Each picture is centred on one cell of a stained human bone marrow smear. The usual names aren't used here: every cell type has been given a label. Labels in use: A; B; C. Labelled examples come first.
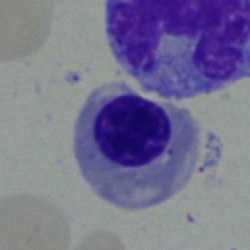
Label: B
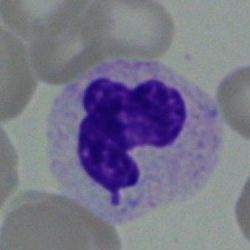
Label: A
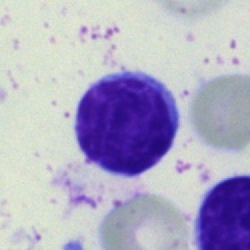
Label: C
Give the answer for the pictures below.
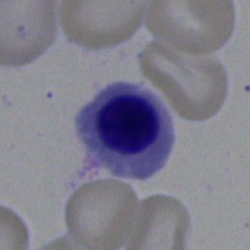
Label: B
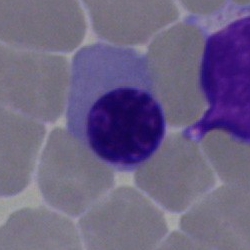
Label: B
